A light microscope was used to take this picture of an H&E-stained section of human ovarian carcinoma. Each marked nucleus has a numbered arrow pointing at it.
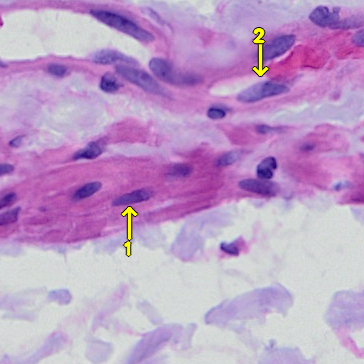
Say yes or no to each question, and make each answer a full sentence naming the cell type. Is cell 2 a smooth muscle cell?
No, cell 2 represents an endothelial cell rather than a smooth muscle cell.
